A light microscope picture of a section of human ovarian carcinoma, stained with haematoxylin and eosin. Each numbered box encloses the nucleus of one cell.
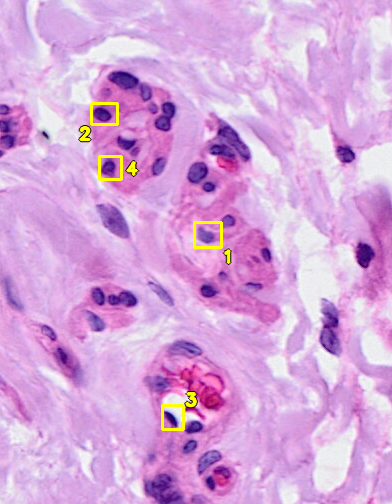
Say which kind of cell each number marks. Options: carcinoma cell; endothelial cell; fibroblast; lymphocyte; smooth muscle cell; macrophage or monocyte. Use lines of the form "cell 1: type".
cell 1: smooth muscle cell
cell 2: smooth muscle cell
cell 3: endothelial cell
cell 4: smooth muscle cell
